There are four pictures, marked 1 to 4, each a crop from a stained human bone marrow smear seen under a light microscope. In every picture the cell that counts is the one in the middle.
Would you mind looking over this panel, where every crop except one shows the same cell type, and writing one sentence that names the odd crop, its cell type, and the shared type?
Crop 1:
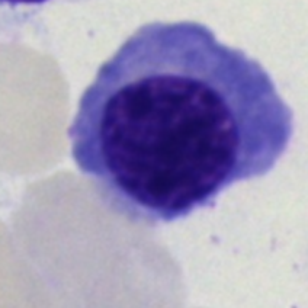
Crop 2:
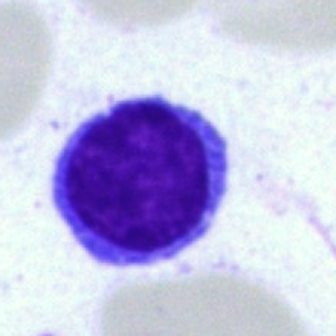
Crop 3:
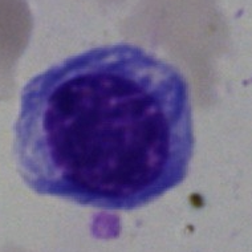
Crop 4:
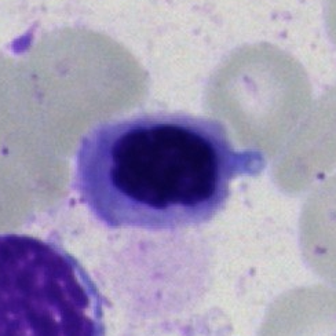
Crop 2 is the only crop with a lymphocyte, the others all showing normoblasts.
